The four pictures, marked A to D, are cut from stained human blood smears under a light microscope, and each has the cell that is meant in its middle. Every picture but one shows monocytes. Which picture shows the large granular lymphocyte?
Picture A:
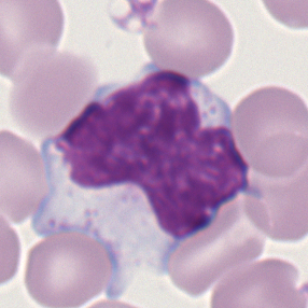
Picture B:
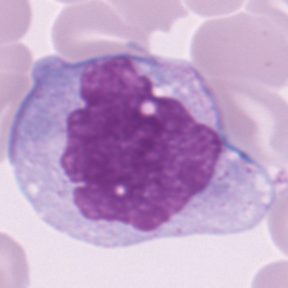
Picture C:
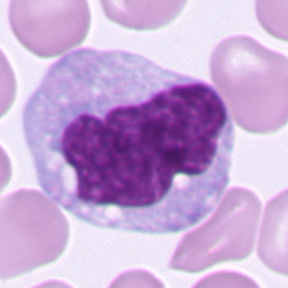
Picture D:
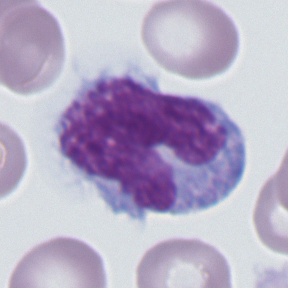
A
